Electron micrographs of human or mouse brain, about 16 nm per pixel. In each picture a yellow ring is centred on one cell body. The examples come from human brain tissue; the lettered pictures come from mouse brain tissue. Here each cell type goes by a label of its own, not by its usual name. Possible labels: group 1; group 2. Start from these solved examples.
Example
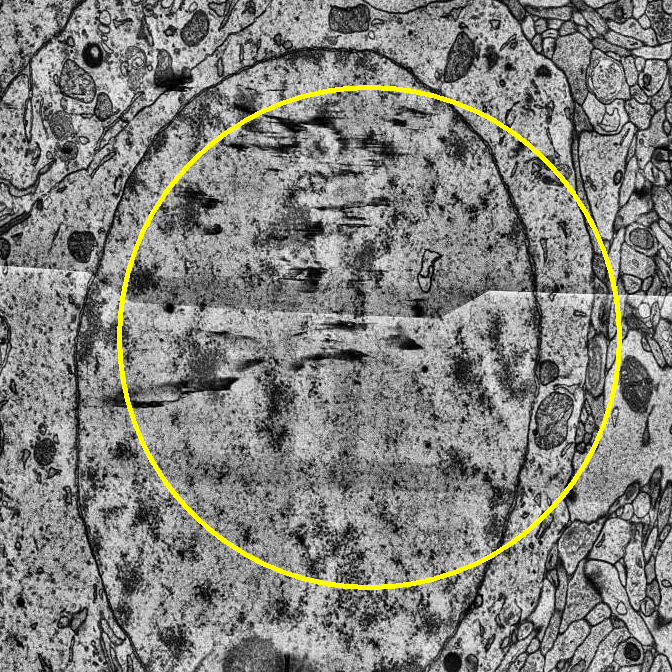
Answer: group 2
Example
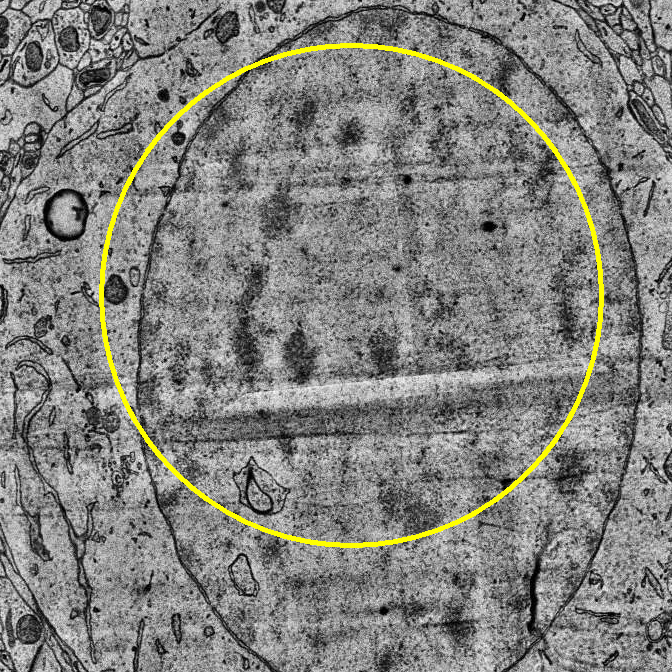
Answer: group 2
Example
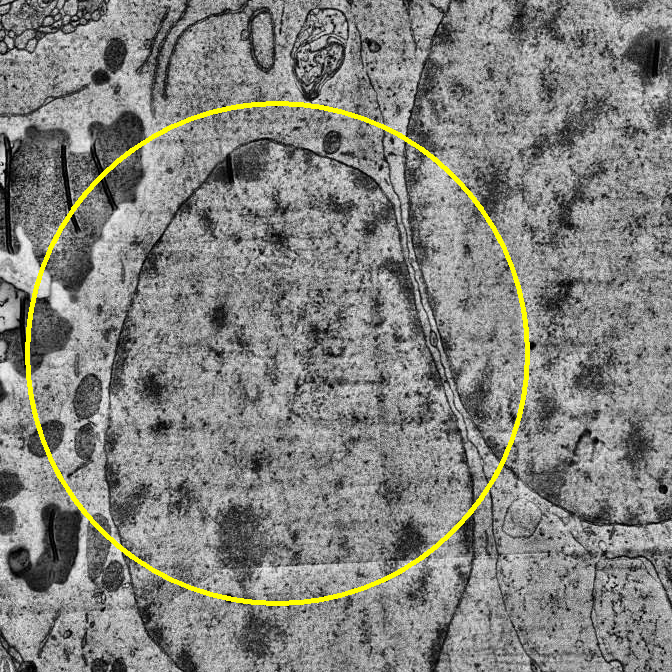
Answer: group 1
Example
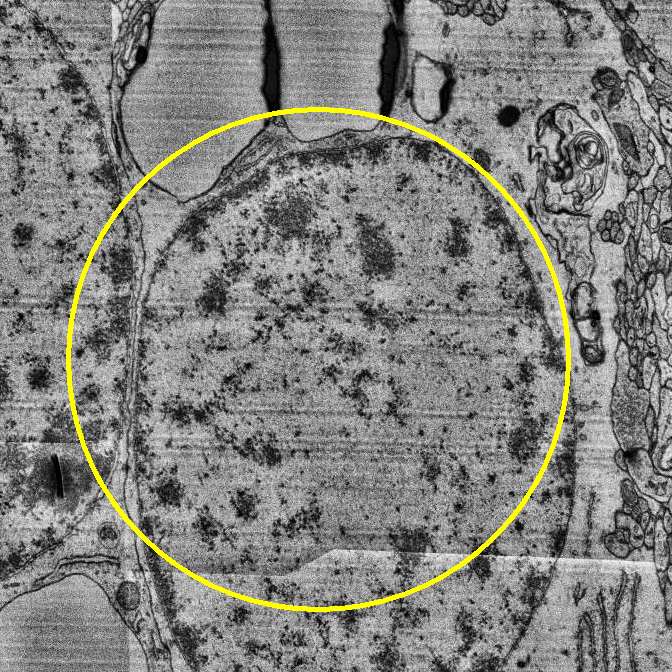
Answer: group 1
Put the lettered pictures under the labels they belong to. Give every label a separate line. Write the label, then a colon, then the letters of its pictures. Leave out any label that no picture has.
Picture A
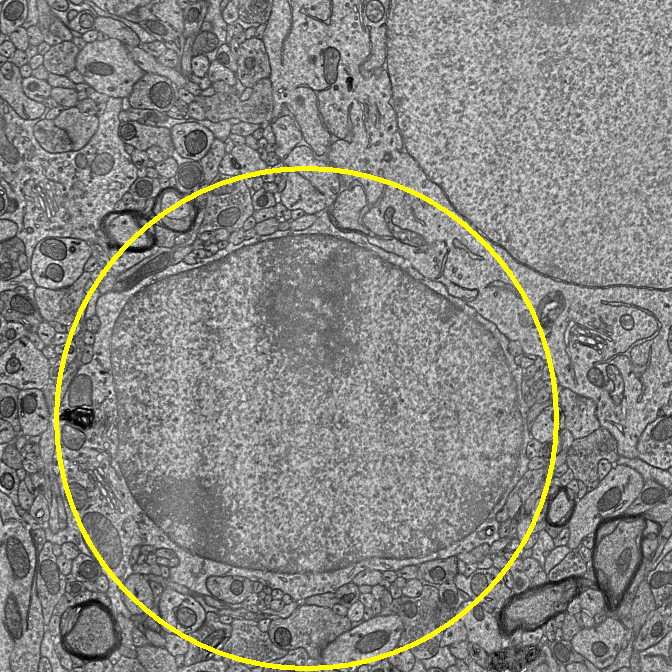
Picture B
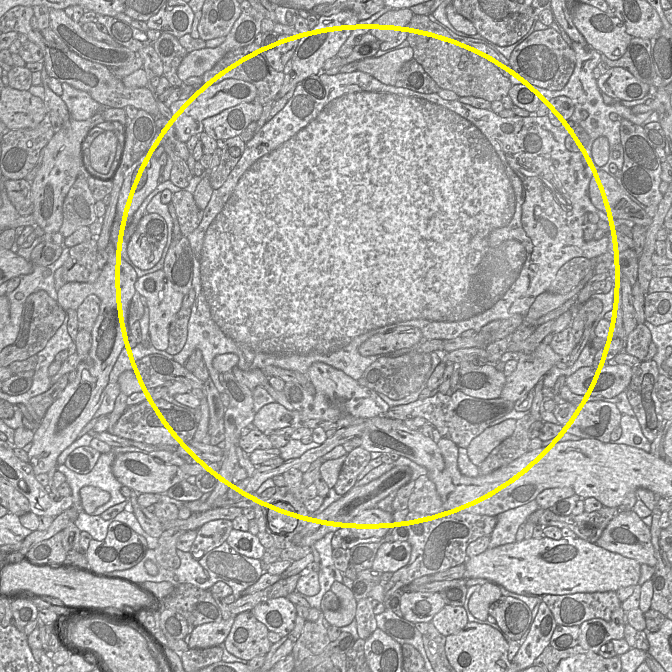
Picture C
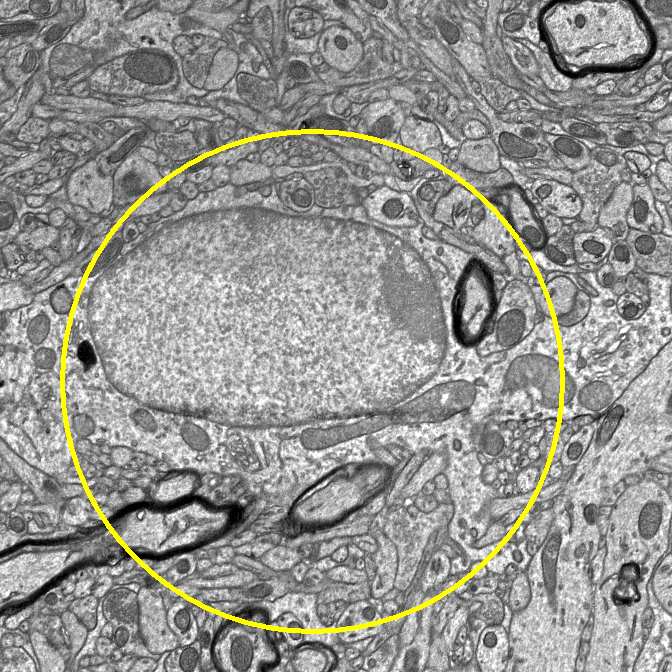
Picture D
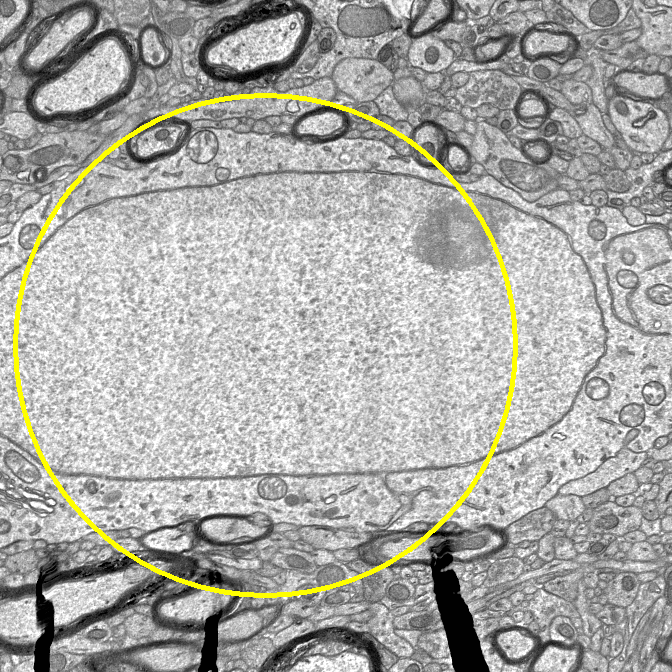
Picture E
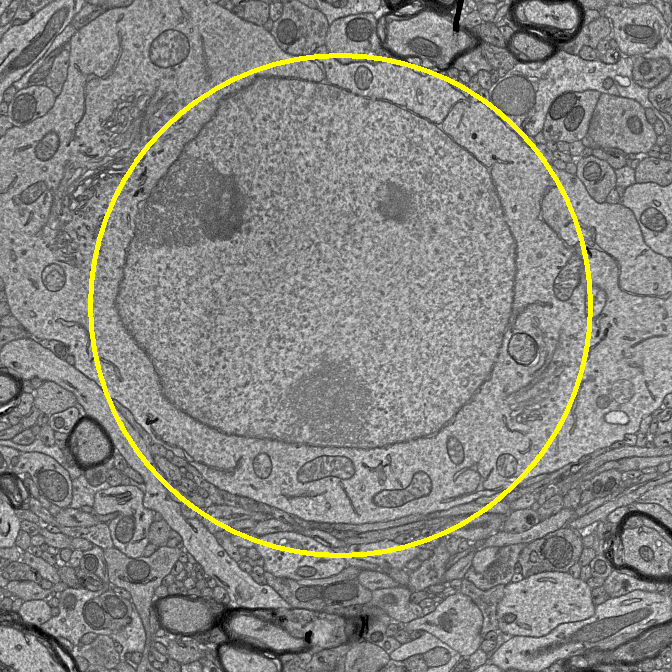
group 1: A, B, C
group 2: D, E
